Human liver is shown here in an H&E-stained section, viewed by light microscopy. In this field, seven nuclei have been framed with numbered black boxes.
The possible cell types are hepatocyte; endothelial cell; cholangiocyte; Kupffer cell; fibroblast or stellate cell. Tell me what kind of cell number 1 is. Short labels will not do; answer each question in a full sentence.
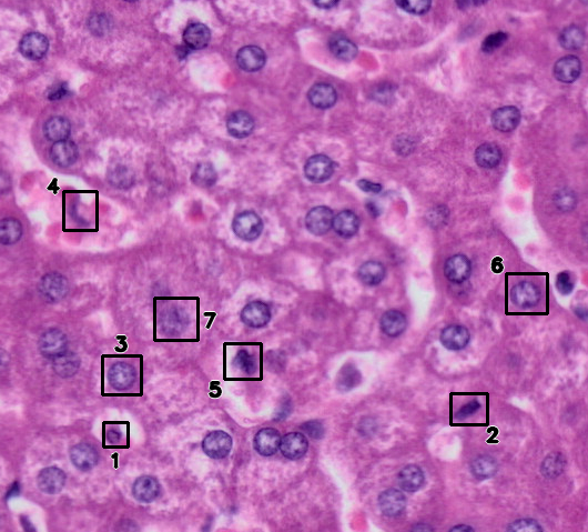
The correct label for cell 1 is a Kupffer cell.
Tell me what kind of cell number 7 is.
The cell that is numbered 7 is a hepatocyte.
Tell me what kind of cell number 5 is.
Nucleus 5 in this section belongs to a Kupffer cell.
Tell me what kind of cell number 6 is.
Classified as a hepatocyte is the cell with the number 6.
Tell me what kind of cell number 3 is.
Cell 3, among those numbered, is a hepatocyte.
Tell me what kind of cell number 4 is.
Heads up, the cell numbered 4 is a Kupffer cell.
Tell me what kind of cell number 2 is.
Of the numbered cells, the one labelled 2 is a fibroblast or stellate cell.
